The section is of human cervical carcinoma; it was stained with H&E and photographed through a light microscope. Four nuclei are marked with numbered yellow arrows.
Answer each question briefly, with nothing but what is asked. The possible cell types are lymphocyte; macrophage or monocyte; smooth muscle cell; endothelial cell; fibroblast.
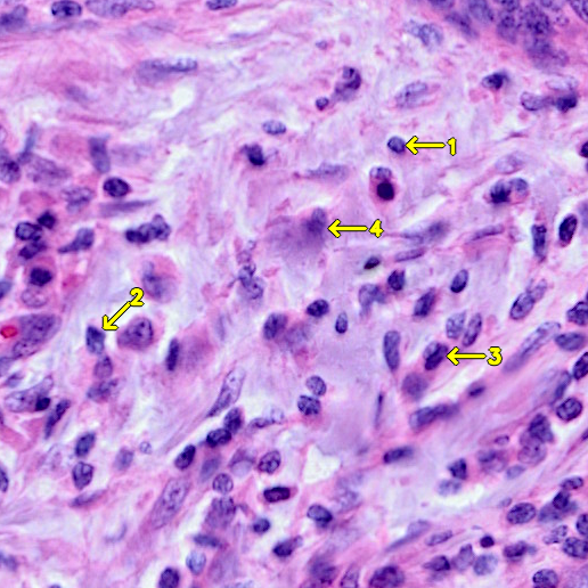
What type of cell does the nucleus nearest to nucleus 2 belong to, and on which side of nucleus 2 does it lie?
a macrophage or monocyte, below nucleus 2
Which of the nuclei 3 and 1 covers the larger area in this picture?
3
